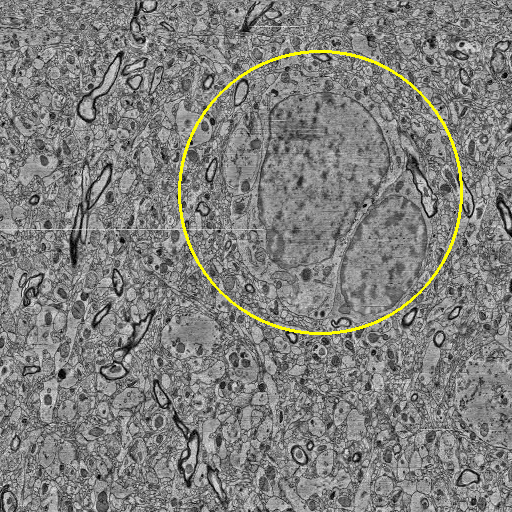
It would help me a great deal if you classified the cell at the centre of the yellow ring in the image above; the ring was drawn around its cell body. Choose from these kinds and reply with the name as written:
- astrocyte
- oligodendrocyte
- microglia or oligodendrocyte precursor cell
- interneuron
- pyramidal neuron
interneuron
